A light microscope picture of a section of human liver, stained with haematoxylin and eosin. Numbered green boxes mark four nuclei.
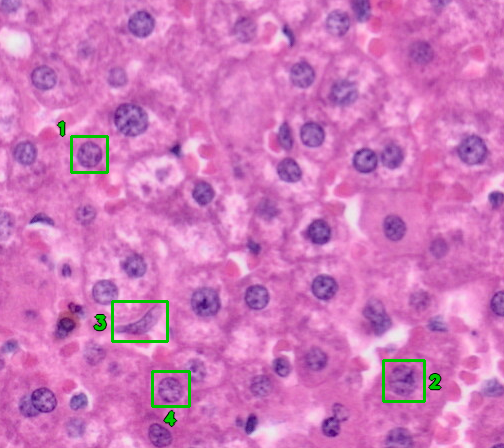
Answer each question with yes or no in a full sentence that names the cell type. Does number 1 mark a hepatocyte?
Yes, cell 1 among the marked cells is a hepatocyte.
